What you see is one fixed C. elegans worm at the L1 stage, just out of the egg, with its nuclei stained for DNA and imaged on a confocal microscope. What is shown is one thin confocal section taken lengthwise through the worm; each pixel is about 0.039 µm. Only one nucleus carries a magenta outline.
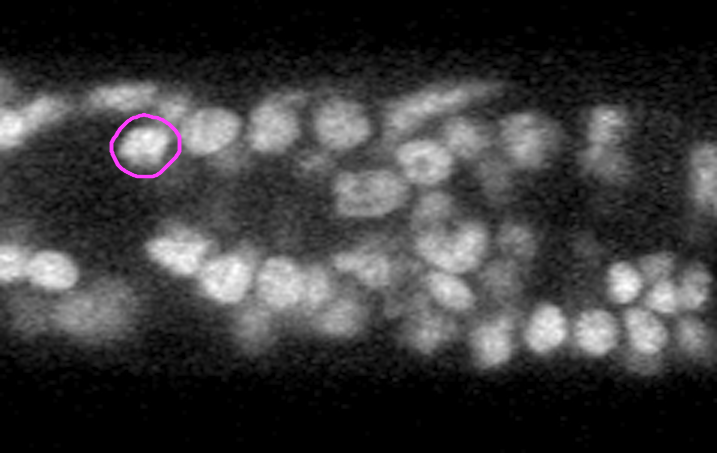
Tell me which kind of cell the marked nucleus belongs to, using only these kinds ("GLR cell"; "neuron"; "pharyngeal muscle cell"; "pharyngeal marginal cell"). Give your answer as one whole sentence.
It is the nucleus of a GLR cell.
